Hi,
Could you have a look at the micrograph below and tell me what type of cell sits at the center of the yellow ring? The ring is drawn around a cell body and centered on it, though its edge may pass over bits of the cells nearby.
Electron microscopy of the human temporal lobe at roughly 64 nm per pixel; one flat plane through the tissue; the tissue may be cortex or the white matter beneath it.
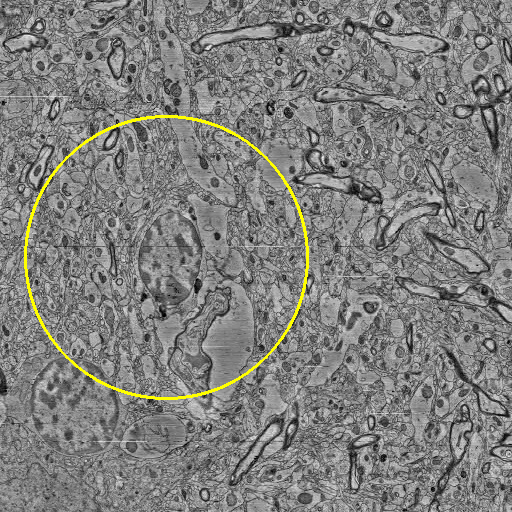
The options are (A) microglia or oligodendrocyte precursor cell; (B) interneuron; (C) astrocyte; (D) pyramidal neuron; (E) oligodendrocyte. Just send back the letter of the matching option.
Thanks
A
